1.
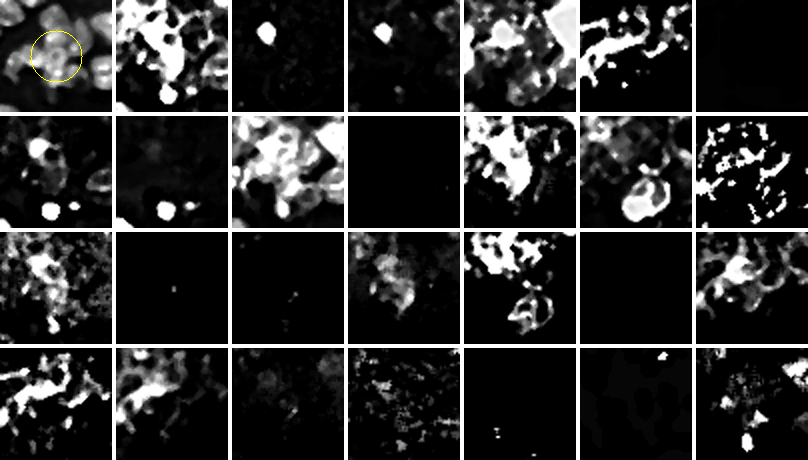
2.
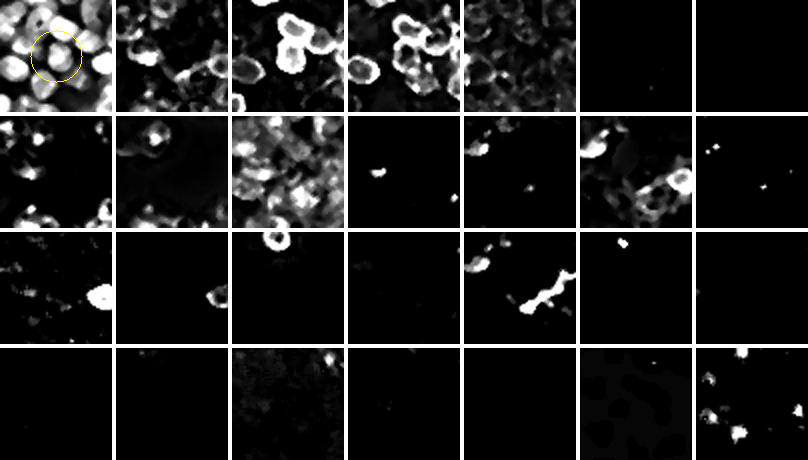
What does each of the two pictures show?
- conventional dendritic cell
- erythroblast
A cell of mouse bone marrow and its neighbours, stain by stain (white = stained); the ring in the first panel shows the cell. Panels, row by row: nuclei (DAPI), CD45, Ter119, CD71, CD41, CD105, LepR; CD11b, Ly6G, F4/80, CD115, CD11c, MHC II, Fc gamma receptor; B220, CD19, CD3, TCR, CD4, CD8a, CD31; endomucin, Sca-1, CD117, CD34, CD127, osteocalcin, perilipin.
1. conventional dendritic cell
2. erythroblast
